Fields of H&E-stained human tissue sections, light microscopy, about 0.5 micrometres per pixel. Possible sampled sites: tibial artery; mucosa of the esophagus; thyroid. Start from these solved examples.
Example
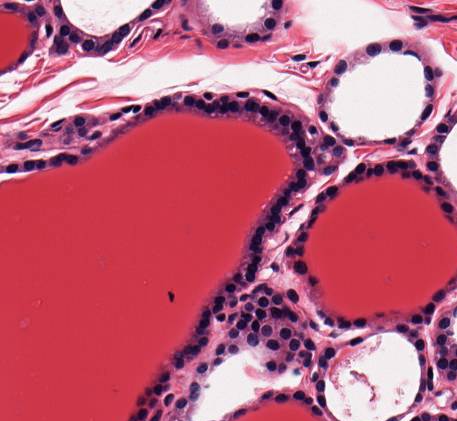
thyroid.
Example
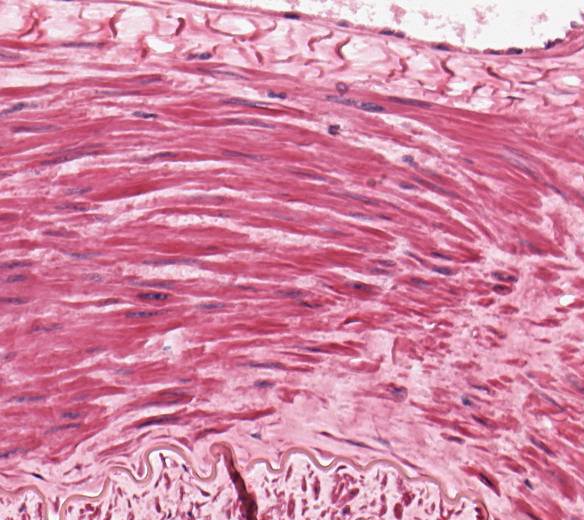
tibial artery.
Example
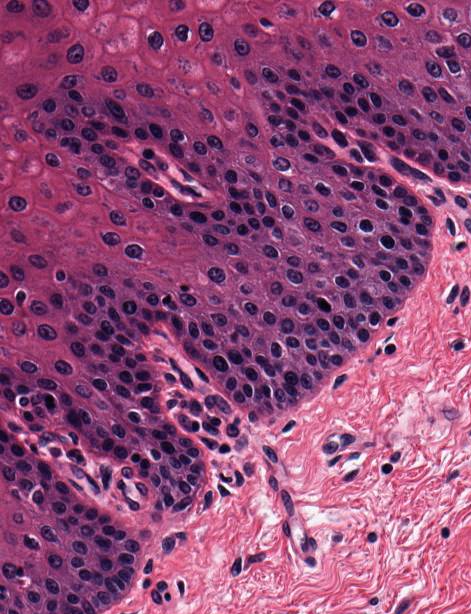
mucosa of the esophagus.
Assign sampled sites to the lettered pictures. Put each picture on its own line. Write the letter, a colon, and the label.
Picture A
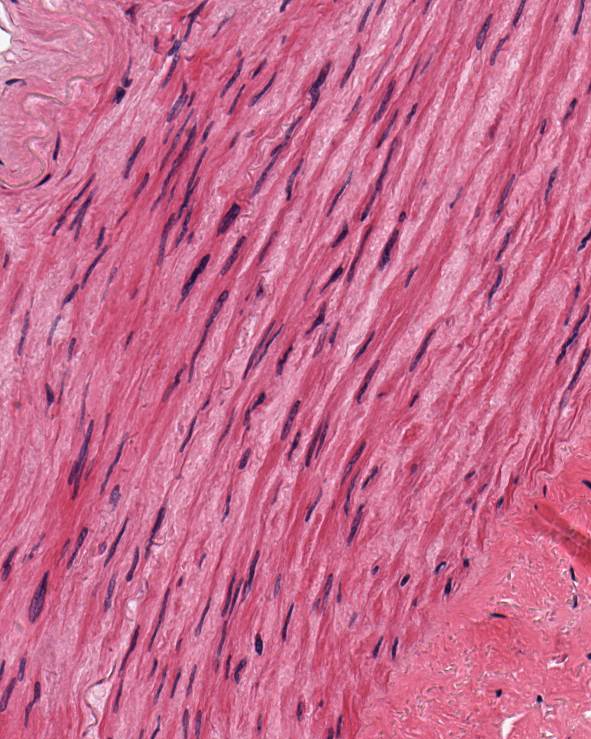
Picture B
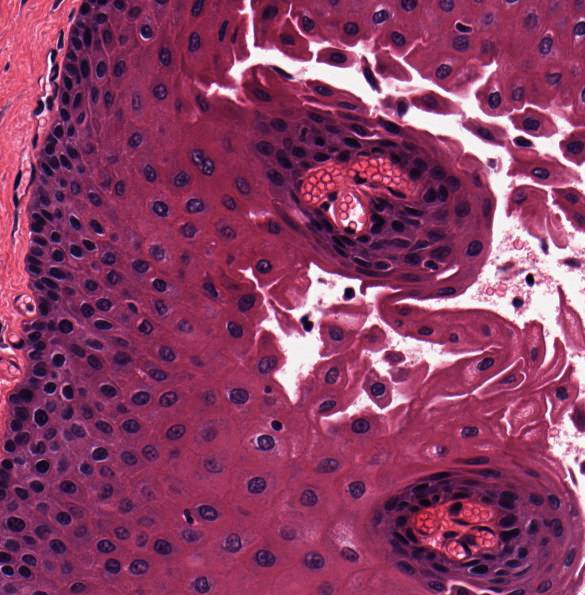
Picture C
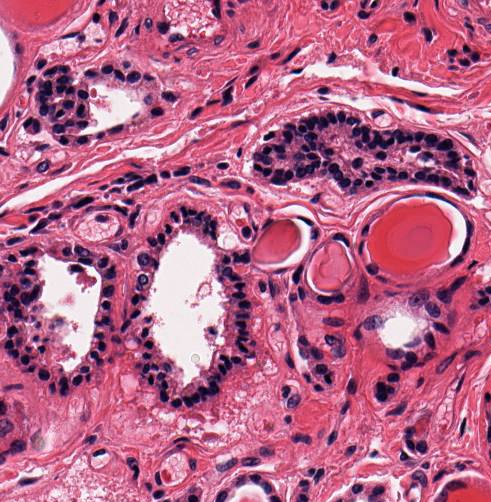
A: tibial artery.
B: mucosa of the esophagus.
C: thyroid.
